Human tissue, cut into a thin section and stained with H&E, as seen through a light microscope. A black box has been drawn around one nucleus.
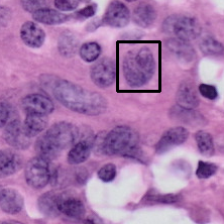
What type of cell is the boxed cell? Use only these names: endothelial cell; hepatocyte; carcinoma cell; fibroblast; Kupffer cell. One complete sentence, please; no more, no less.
As classified here, the boxed cell is a carcinoma cell.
